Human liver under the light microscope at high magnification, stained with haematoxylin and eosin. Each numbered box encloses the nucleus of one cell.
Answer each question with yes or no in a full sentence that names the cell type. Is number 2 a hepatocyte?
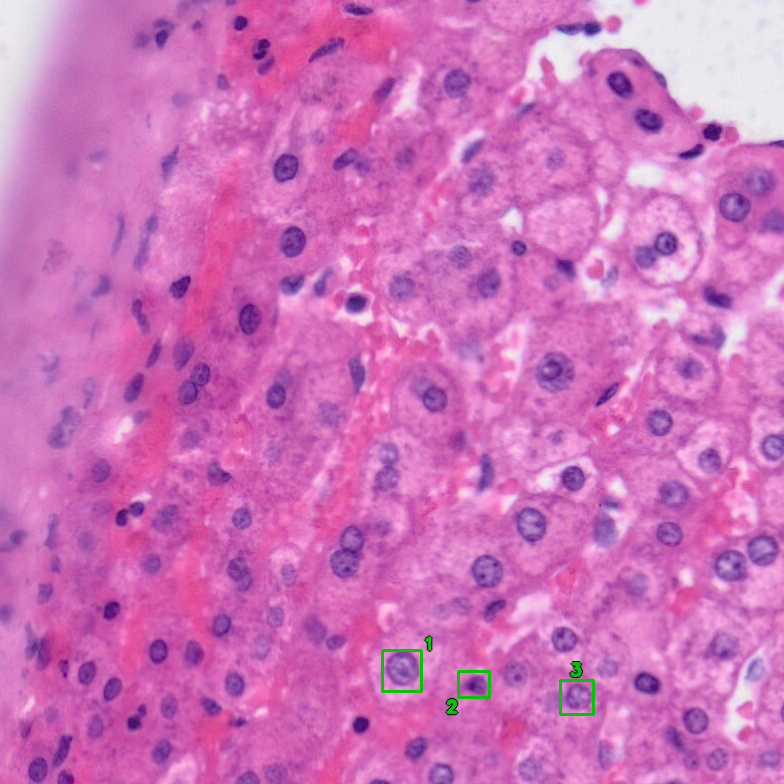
No, cell 2 is not a hepatocyte: it is a fibroblast or stellate cell.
